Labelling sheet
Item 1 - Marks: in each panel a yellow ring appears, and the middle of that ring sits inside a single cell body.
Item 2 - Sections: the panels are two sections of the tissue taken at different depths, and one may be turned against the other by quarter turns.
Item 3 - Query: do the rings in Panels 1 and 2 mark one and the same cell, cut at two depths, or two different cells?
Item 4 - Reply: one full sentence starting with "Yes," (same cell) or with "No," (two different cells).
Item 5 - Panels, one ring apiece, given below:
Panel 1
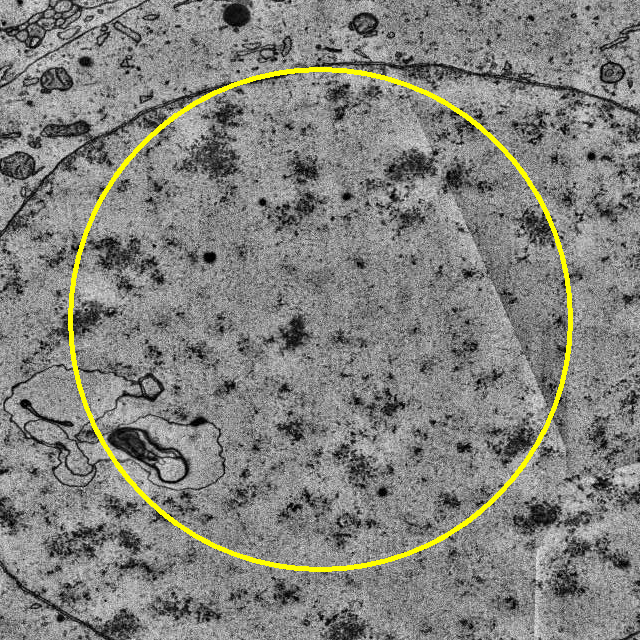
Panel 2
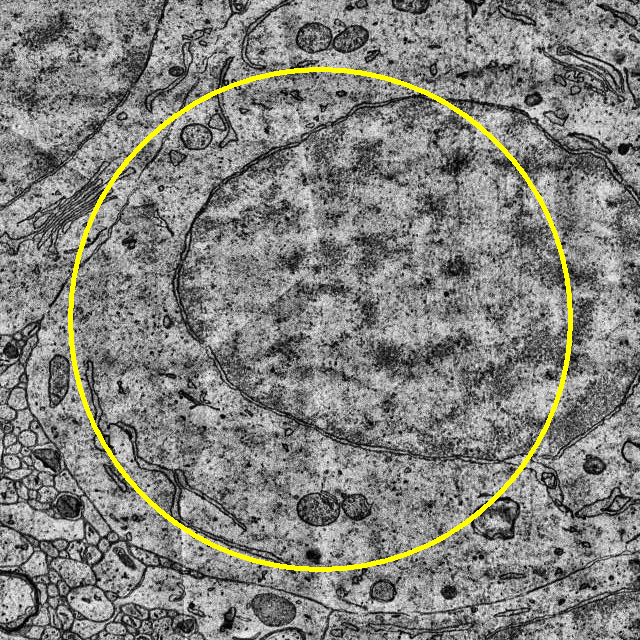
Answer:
No, the two rings are not on the same cell.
